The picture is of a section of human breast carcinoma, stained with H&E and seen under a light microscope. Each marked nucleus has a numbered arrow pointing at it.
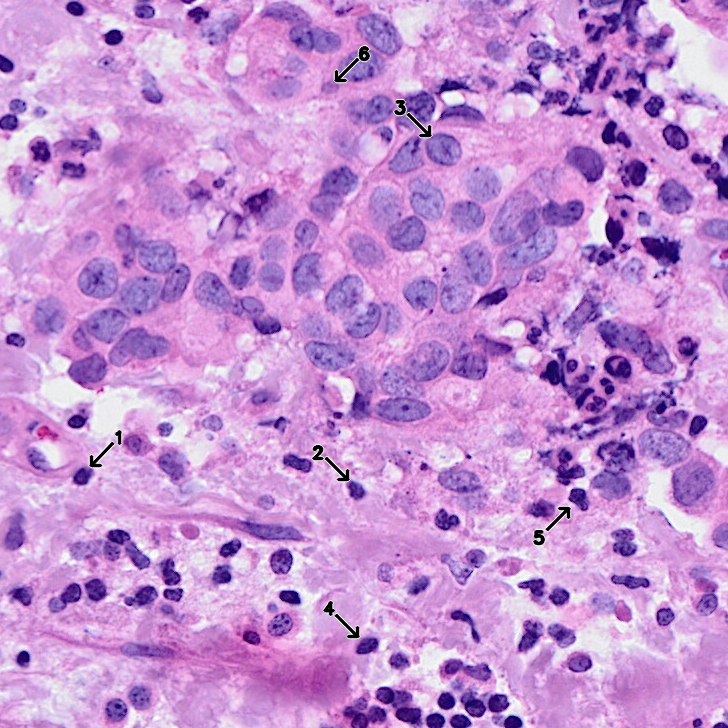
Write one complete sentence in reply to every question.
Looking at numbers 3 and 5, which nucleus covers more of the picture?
Nucleus 3 covers more area, about 2.5 times as much as nucleus 5.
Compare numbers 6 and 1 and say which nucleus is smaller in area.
With nucleus 1 about 2 times its size, nucleus 6 is the smaller of the two.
